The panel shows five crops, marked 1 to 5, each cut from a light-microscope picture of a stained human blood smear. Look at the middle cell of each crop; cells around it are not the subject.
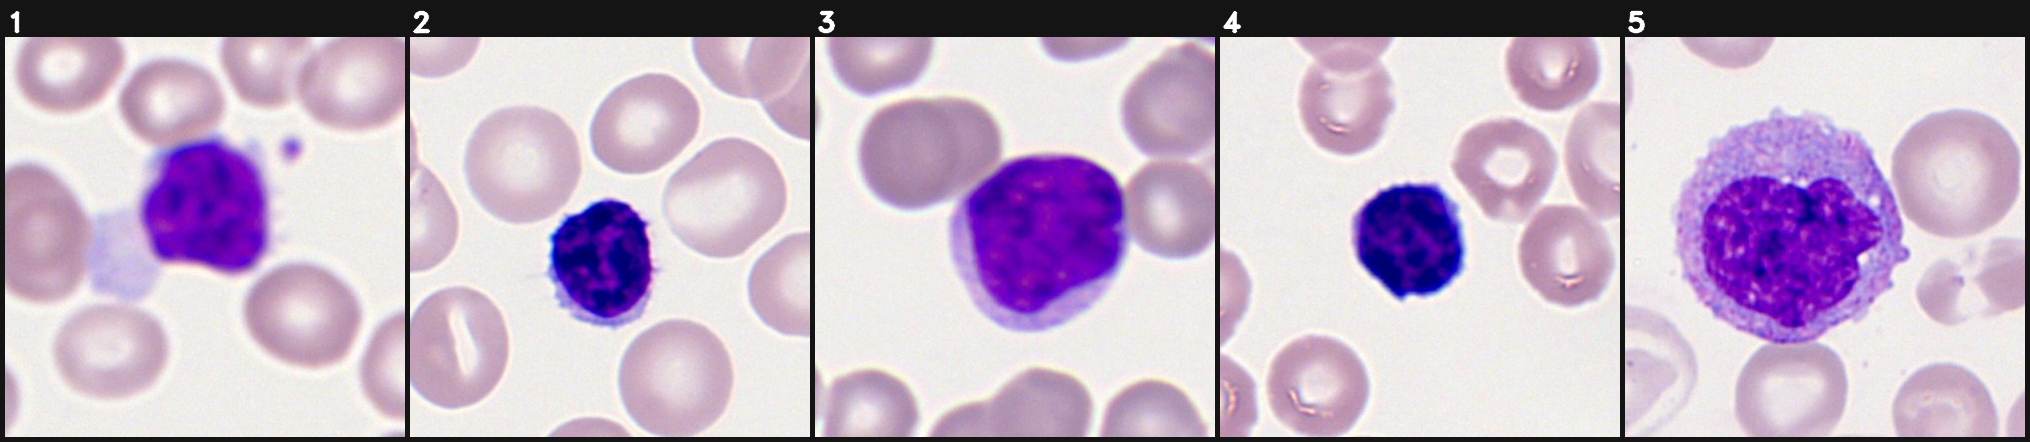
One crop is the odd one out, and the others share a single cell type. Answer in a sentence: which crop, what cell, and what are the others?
While crop 5 shows a monocyte, the other crops all show lymphocytes.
